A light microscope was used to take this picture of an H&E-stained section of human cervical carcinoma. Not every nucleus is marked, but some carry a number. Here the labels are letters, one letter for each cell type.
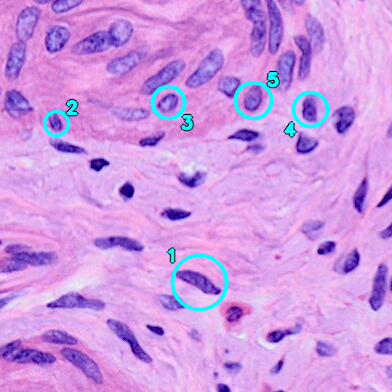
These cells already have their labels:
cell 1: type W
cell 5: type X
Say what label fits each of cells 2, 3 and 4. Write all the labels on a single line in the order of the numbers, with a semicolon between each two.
type X; type X; type W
